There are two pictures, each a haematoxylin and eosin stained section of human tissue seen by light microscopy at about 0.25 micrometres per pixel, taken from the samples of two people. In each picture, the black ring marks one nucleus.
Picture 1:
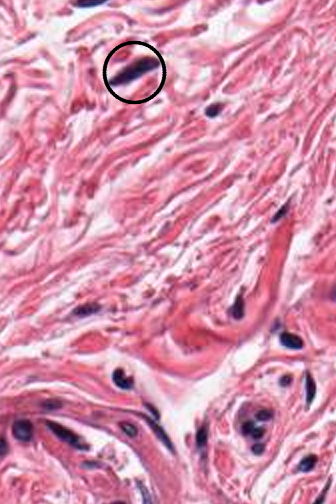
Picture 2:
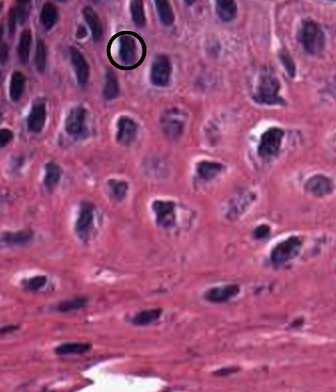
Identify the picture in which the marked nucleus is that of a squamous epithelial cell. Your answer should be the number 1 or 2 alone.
2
